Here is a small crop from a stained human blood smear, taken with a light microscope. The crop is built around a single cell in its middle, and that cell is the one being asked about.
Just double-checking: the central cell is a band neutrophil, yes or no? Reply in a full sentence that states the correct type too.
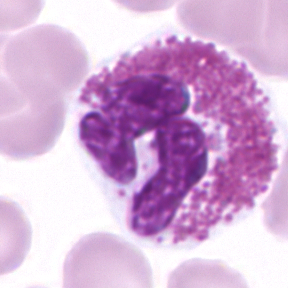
No, the cell at the centre of the crop corresponds to an eosinophil, not a band neutrophil.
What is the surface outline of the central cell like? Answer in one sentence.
There are no projections here; the outline is simply smooth.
